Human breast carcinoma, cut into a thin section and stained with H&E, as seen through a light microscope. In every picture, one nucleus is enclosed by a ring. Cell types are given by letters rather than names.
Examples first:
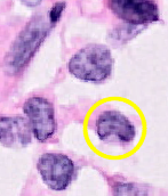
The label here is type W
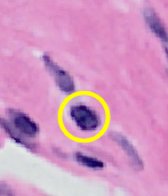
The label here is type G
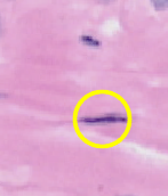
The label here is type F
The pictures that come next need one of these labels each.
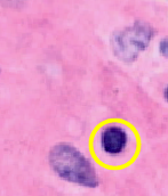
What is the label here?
type G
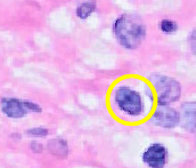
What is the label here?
type G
